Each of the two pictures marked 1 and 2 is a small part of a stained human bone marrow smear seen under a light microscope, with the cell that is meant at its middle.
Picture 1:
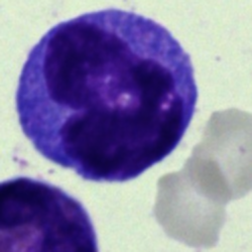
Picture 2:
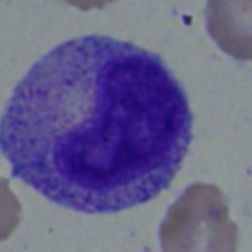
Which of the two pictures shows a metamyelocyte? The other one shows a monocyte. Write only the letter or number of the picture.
2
